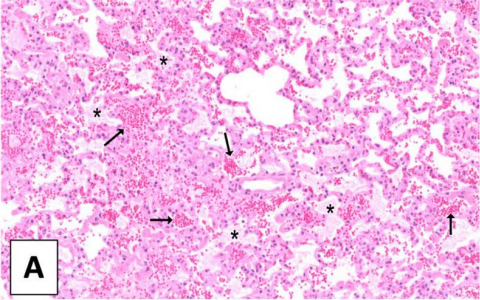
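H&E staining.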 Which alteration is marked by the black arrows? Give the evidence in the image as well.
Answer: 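Hemorrhage. The arrows point to dense clusters of bright red cells lying in the air spaces.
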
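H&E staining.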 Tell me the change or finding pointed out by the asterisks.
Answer: Intra-alveolar edema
